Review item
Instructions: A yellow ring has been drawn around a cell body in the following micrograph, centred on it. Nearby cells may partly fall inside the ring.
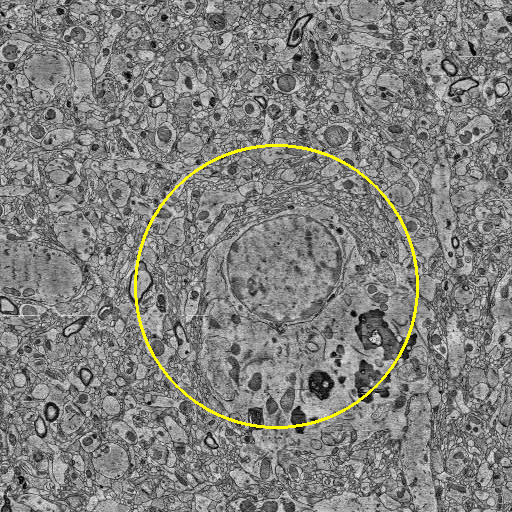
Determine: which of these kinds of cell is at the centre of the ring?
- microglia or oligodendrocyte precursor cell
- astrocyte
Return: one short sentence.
The cell body in the middle of the ring is that of a microglial cell or oligodendrocyte precursor cell.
